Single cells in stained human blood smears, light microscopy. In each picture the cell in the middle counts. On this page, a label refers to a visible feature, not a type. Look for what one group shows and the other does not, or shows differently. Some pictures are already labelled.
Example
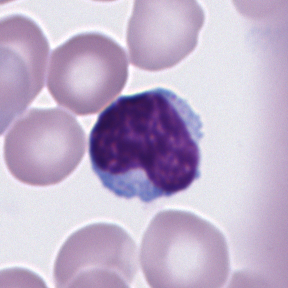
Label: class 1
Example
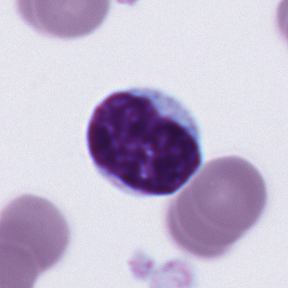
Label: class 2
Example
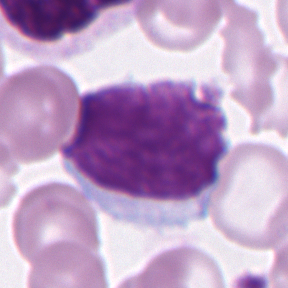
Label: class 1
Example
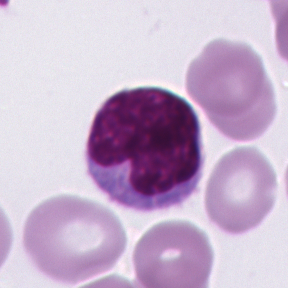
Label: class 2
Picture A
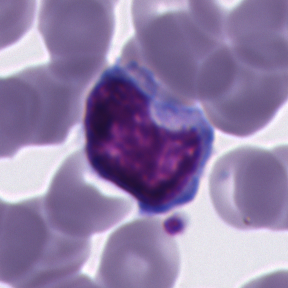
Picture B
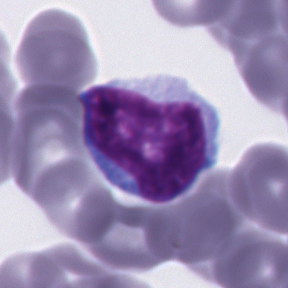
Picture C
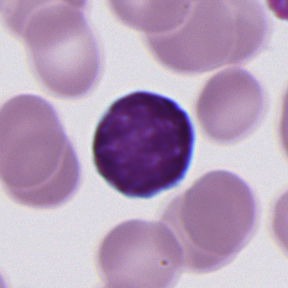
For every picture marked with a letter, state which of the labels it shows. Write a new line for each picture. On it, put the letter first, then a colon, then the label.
A: class 1
B: class 1
C: class 2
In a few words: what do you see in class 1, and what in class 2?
class 1: ragged outline or projections; class 2: smooth outline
